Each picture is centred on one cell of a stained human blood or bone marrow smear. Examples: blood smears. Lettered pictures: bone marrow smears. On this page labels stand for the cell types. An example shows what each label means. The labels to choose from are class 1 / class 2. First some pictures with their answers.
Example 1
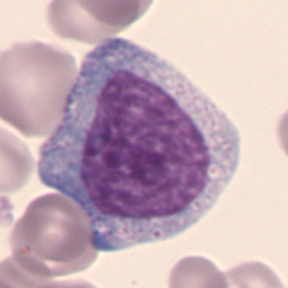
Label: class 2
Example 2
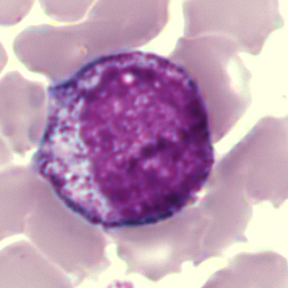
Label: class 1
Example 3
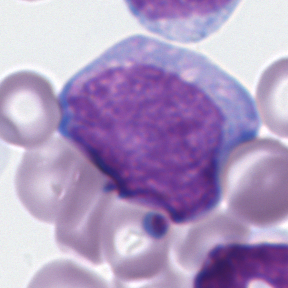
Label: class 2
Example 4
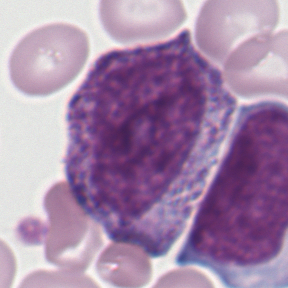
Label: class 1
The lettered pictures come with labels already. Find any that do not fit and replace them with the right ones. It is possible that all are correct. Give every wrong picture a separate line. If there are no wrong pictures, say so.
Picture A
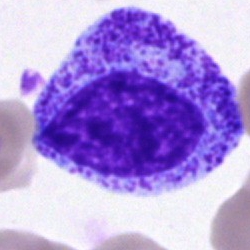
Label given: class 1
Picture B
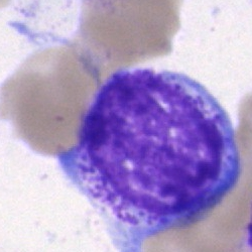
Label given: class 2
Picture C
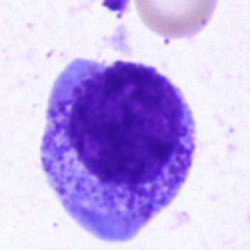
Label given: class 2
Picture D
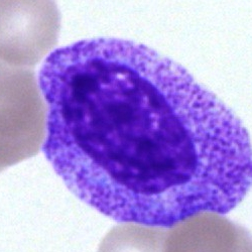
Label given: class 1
No label is wrong.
